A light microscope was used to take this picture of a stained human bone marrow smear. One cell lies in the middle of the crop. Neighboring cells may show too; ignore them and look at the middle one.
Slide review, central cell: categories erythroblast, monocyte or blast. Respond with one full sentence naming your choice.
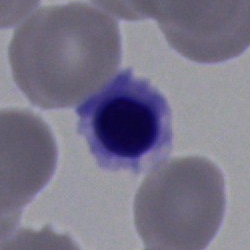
Whatever else lies nearby, the middle cell is an erythroblast.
